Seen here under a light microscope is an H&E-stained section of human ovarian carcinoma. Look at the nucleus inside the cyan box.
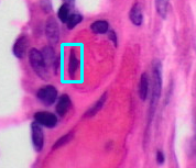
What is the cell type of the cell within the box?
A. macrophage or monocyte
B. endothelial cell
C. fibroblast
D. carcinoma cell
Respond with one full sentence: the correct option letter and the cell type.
Option B is the correct one: the cell within the box is an endothelial cell.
